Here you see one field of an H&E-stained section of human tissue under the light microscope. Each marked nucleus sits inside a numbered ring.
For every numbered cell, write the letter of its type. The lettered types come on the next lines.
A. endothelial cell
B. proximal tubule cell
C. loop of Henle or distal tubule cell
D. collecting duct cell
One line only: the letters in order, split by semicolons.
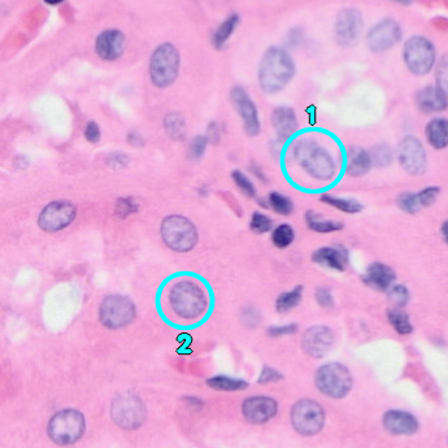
D; B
